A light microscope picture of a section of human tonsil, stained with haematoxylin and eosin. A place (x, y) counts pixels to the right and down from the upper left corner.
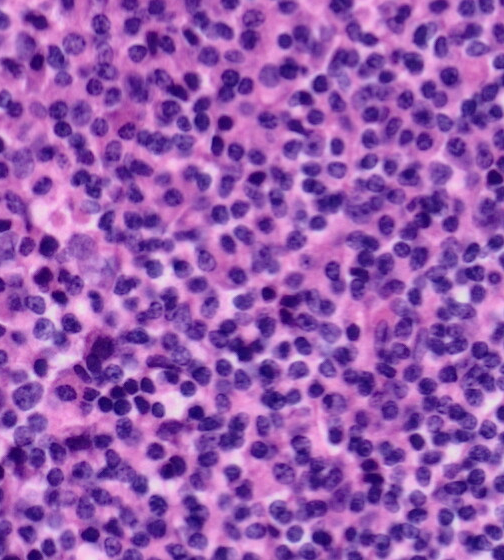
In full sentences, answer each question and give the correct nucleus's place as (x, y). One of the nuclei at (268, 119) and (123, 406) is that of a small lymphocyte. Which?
The one belonging to a small lymphocyte is the nucleus at (123, 406), not the other.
